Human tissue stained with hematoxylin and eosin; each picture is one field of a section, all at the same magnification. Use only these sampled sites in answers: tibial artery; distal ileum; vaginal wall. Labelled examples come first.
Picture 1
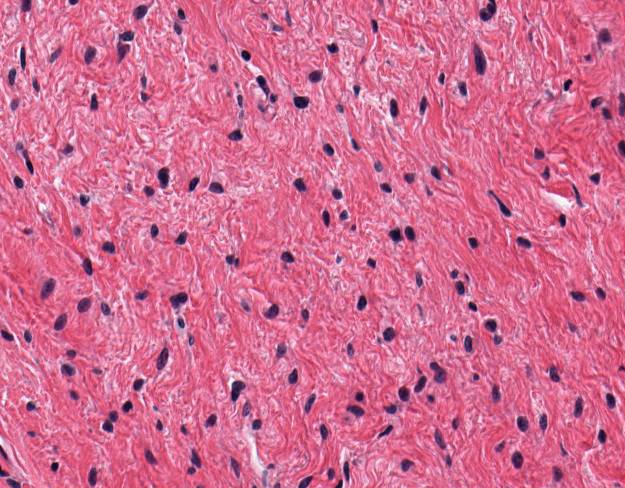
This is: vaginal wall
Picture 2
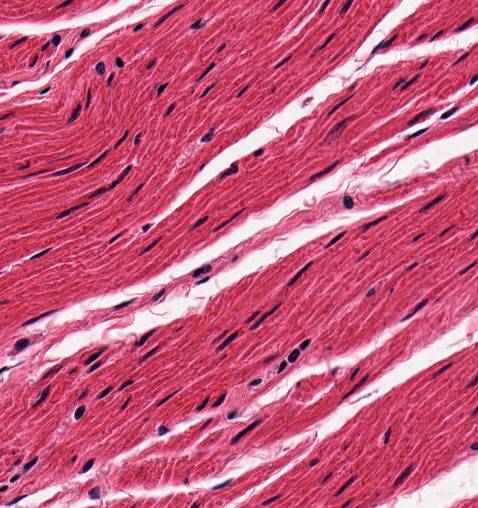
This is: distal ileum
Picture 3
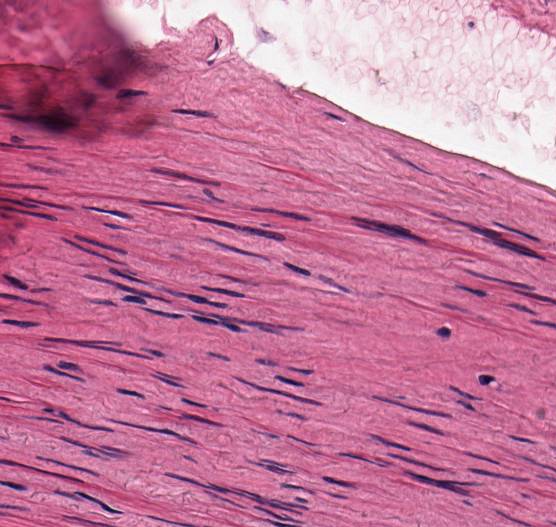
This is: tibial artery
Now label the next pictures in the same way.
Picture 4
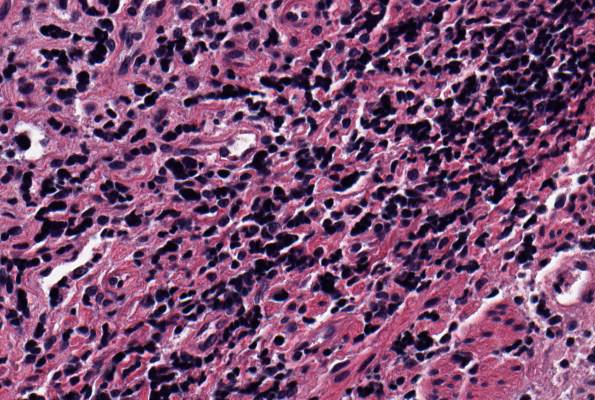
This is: distal ileum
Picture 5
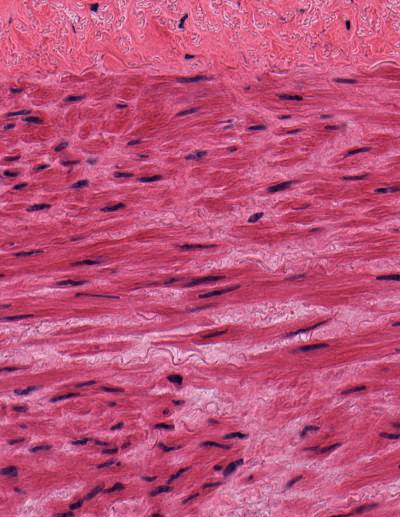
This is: tibial artery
